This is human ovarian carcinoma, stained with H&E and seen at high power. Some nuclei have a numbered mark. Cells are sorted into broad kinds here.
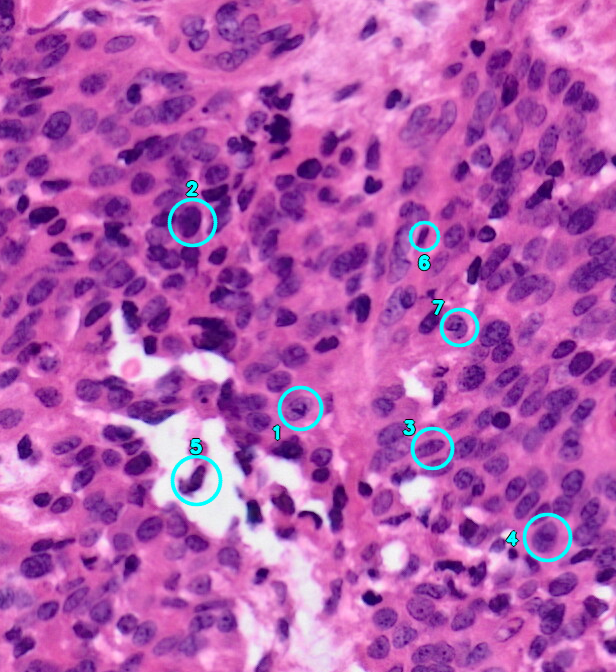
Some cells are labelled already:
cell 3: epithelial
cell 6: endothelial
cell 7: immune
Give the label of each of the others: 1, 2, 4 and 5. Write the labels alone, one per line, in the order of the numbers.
immune
epithelial
epithelial
epithelial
